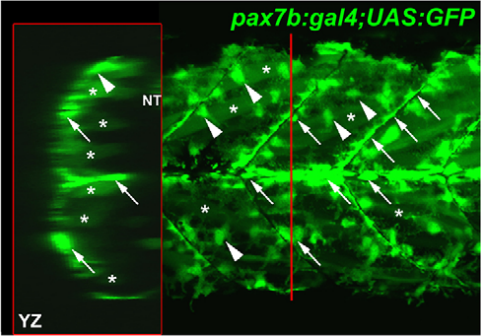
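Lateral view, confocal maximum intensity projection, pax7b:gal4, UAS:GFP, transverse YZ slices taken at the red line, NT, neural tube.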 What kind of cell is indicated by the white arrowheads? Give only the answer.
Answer: Dermomyotomal cells.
